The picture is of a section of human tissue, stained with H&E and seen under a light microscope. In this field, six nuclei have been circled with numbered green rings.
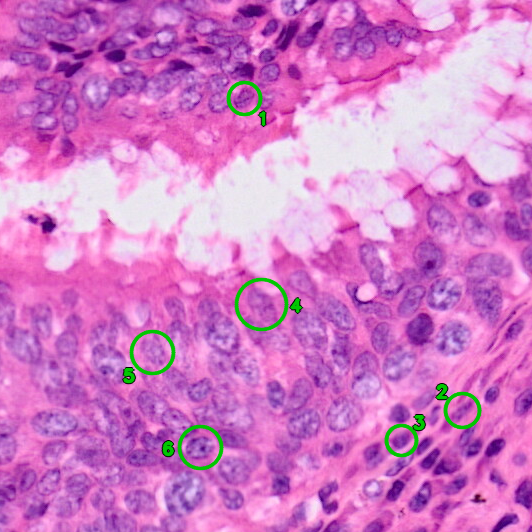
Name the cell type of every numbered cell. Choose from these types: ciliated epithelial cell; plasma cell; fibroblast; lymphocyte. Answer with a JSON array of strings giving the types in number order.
["ciliated epithelial cell", "plasma cell", "plasma cell", "ciliated epithelial cell", "ciliated epithelial cell", "ciliated epithelial cell"]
